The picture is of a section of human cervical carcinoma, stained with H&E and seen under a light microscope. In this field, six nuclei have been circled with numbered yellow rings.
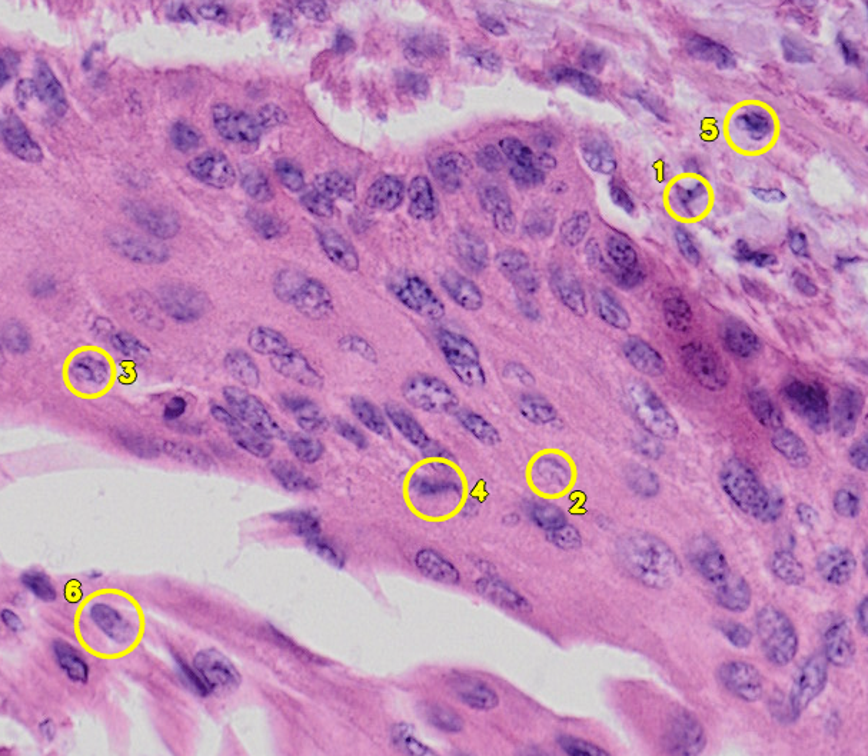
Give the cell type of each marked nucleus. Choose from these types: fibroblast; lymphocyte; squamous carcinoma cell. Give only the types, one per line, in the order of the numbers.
fibroblast
squamous carcinoma cell
squamous carcinoma cell
squamous carcinoma cell
lymphocyte
squamous carcinoma cell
